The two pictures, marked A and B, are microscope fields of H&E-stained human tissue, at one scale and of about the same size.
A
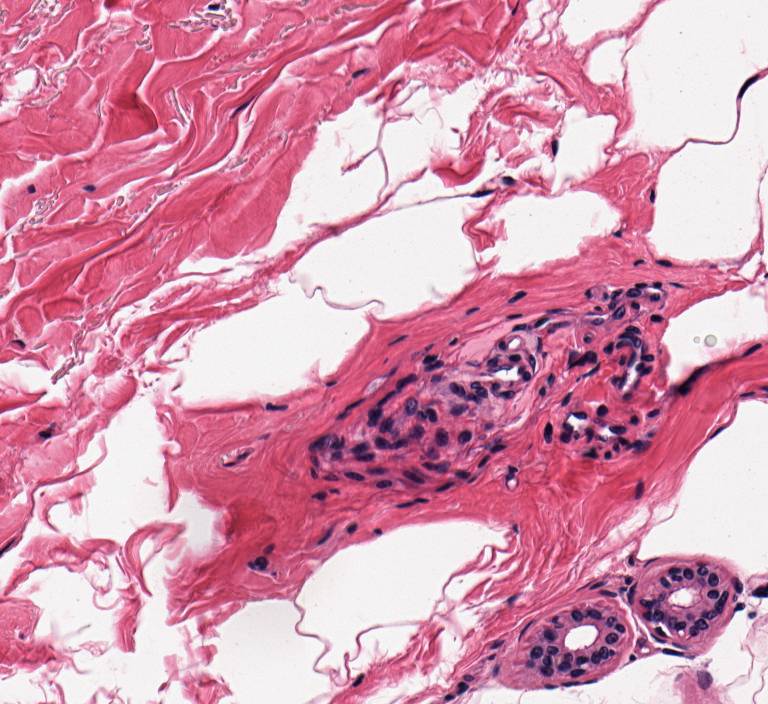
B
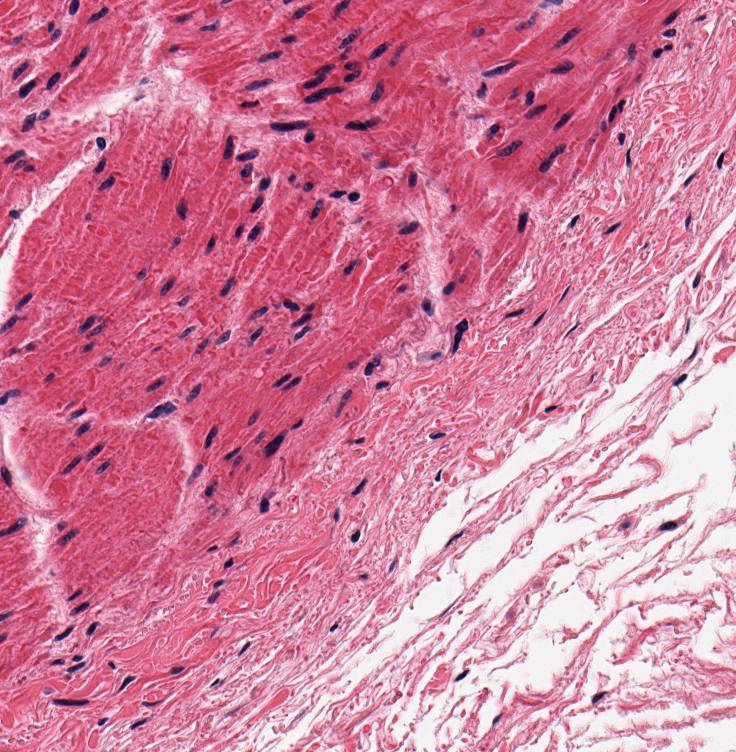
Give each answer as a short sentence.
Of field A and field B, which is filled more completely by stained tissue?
It is field B that stained tissue fills more completely.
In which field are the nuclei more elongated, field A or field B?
The nuclei are more elongated in field B.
